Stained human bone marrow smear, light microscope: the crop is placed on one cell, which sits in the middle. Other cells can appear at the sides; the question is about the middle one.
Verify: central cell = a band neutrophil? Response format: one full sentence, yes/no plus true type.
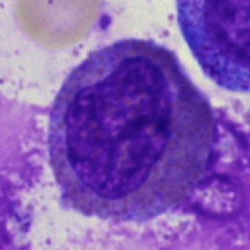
No, not a band neutrophil: the cell in the middle of this crop is an eosinophil.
